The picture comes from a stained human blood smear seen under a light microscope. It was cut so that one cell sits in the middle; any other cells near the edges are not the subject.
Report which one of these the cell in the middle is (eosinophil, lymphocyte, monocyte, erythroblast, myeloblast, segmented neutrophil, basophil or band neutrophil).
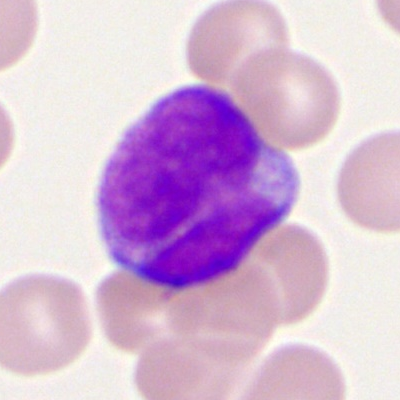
myeloblast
